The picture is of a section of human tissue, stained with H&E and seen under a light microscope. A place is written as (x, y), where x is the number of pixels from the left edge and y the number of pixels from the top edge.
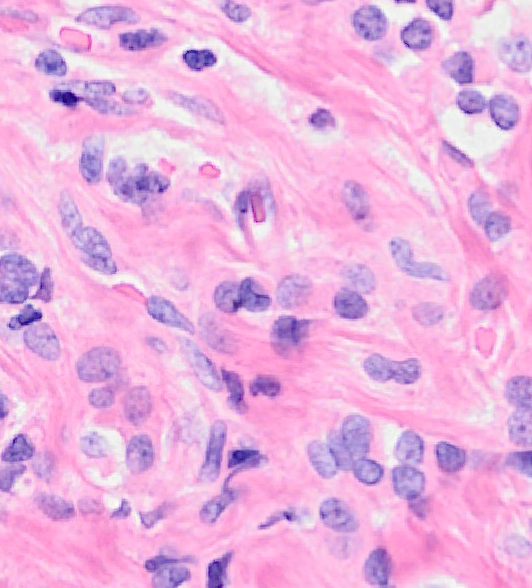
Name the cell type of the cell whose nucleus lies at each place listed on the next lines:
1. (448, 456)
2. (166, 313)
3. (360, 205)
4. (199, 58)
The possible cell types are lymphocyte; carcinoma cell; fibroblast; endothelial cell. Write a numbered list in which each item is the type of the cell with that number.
1. carcinoma cell
2. endothelial cell
3. fibroblast
4. lymphocyte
